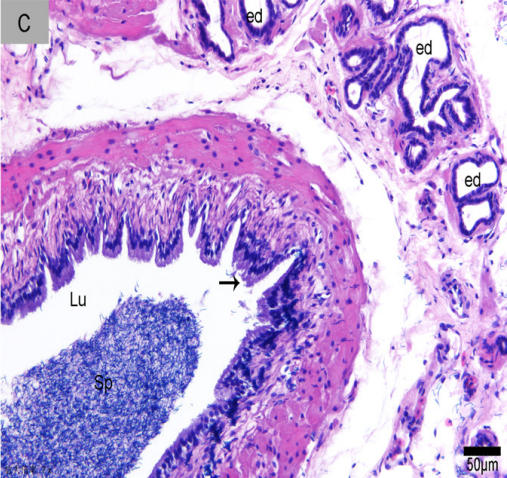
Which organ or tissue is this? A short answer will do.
Epididymis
